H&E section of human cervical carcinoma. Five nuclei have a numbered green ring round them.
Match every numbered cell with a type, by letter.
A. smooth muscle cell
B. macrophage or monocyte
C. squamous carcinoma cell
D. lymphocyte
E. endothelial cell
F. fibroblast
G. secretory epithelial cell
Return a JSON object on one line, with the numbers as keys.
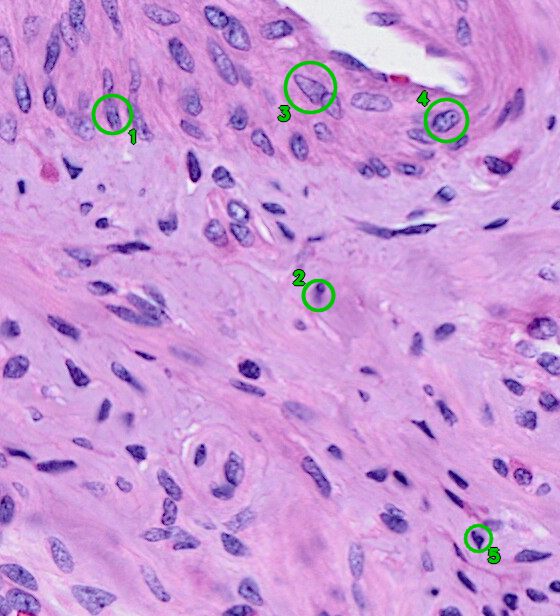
{"1": "A", "2": "F", "3": "A", "4": "A", "5": "F"}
